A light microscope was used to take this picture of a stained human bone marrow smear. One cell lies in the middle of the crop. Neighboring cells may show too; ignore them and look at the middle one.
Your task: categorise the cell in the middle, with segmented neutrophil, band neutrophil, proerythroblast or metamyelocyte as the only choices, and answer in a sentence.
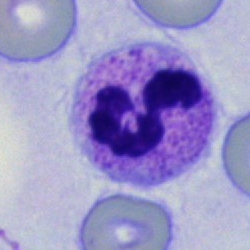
Centrally within this crop lies a segmented neutrophil.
